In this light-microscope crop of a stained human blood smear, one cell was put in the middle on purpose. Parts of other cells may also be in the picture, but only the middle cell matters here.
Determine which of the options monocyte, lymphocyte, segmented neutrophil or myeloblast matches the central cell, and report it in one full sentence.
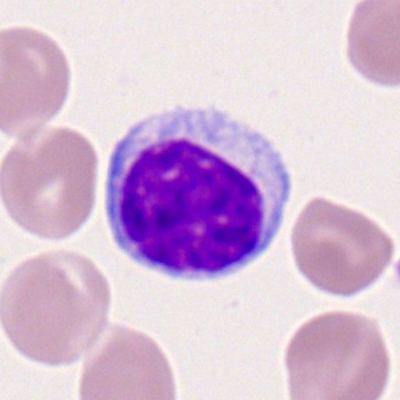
By classification, the middle cell of this crop is a lymphocyte.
